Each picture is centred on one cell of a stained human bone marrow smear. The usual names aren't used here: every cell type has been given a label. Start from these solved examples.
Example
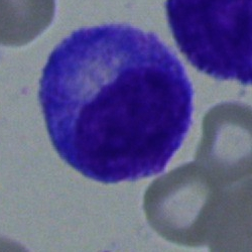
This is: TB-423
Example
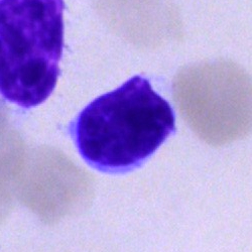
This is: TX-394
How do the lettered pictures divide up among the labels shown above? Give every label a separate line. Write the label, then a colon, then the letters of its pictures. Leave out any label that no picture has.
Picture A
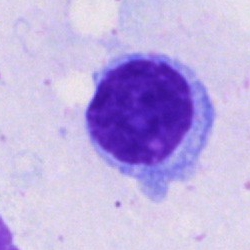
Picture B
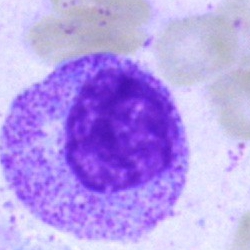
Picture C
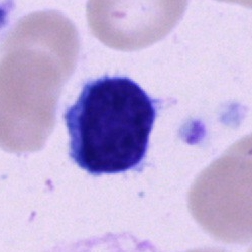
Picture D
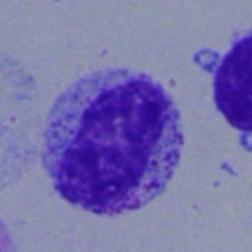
TB-423: B, D
TX-394: A, C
